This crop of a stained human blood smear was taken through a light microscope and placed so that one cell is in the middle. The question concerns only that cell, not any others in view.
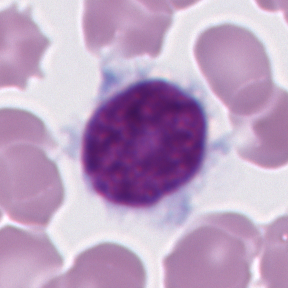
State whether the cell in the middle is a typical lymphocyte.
no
